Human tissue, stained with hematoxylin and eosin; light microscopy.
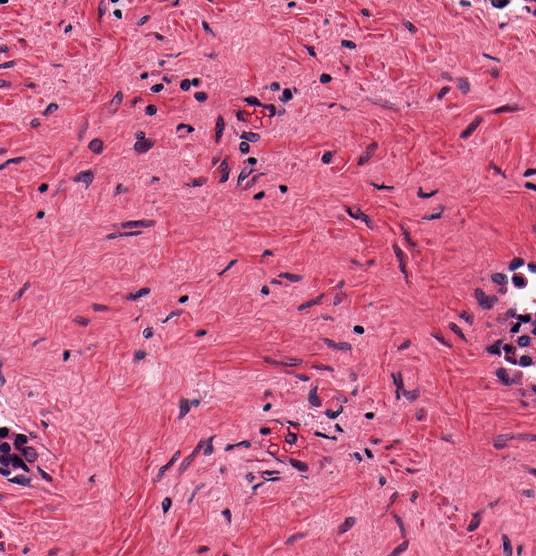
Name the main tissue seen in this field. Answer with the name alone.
fibromuscular stroma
